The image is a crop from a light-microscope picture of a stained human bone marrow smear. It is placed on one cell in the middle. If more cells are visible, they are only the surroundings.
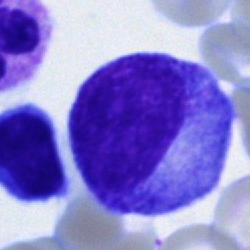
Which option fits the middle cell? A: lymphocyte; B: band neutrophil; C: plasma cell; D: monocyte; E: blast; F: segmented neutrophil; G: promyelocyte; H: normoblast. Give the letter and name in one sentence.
Well, the cell in the middle is a promyelocyte, making option G right.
